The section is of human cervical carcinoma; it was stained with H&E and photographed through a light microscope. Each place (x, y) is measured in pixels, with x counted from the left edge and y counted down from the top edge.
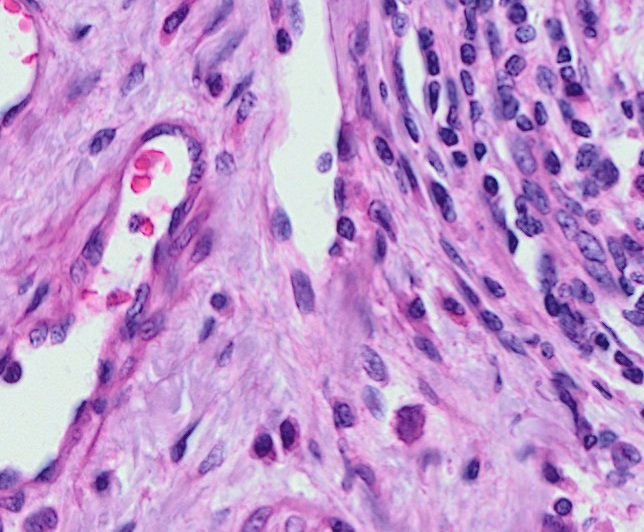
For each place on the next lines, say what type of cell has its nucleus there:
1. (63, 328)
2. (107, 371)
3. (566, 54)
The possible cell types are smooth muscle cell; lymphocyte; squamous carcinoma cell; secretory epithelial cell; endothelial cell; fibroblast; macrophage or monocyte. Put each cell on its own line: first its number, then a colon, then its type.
1: endothelial cell
2: endothelial cell
3: lymphocyte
